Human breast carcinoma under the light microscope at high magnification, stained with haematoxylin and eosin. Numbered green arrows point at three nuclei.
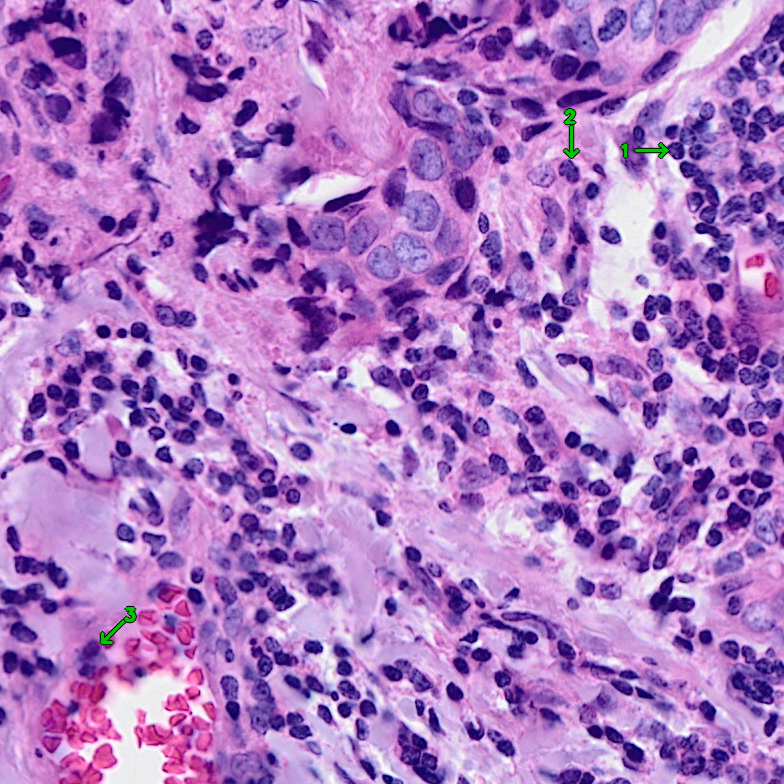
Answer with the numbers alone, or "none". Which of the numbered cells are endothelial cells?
3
